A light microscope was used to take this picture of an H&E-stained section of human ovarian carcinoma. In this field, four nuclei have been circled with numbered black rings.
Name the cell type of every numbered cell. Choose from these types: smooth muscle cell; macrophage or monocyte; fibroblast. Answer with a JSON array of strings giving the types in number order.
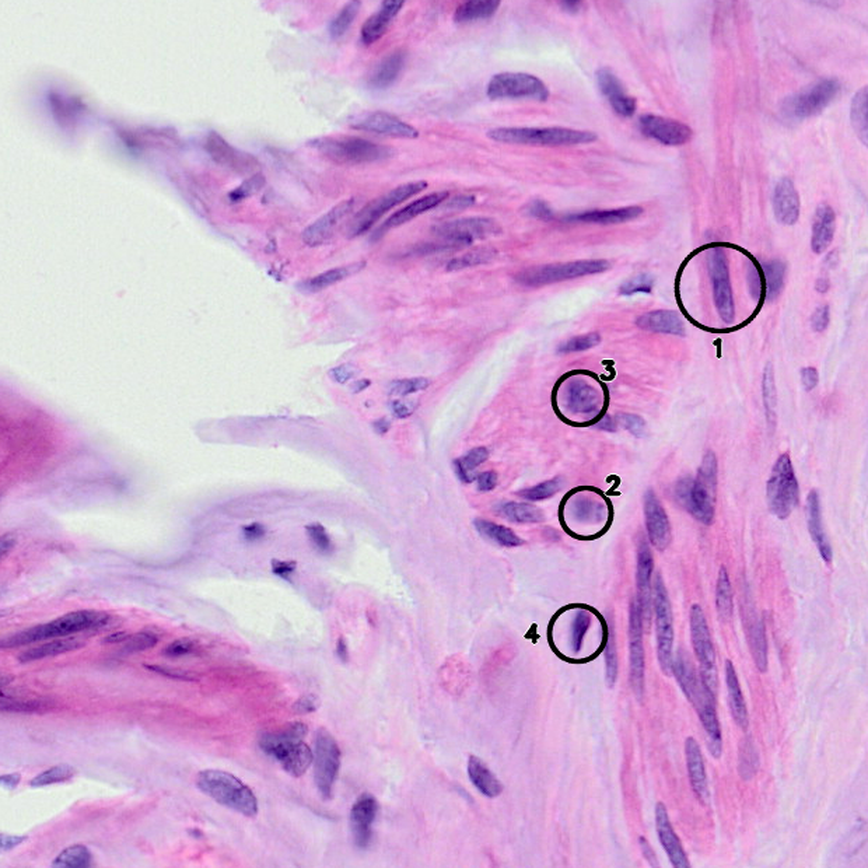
["smooth muscle cell", "smooth muscle cell", "smooth muscle cell", "fibroblast"]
